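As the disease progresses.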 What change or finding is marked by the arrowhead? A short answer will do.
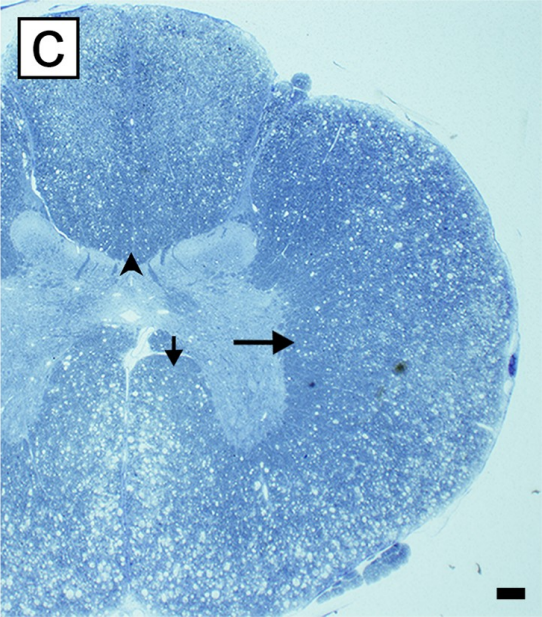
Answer: Sparing of the deep white matter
